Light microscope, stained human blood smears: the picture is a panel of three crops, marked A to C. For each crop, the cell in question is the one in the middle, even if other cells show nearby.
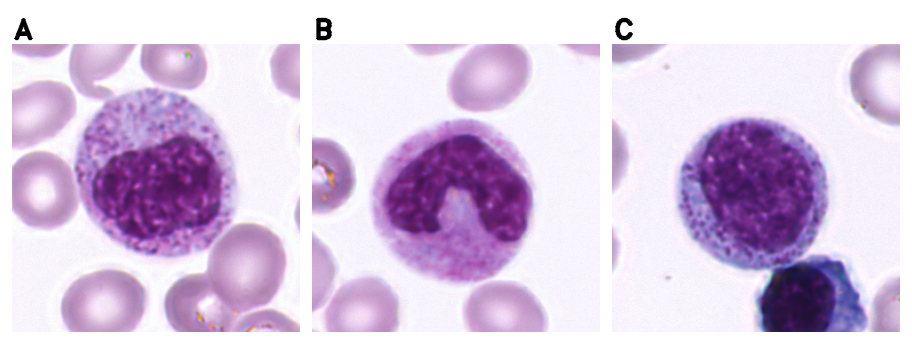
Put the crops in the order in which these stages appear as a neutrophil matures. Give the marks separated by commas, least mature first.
C, A, B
